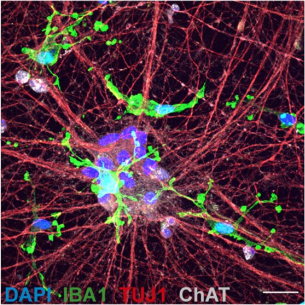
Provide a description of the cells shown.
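A central clump of neuronal cell bodies, with blue nuclei and whitish cytoplasmic staining, sends out long, thin red processes that radiate across the field and cross to form a dense network. Scattered among and on top of these fibres are smaller green cells, the microglia, each with one blue nucleus and irregular, branching or elongated processes; several cluster near the neuronal clump, others lie alongside individual fibres. A few isolated white-stained rounded cell bodies sit apart from the main cluster.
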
